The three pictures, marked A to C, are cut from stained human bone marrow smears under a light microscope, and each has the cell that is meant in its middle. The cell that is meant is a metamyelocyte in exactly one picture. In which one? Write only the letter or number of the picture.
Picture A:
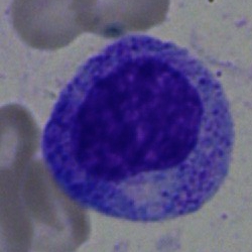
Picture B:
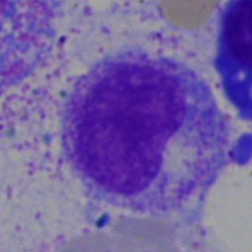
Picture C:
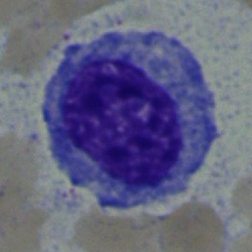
B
